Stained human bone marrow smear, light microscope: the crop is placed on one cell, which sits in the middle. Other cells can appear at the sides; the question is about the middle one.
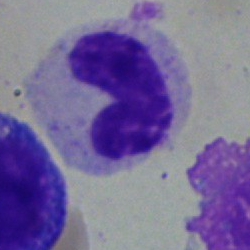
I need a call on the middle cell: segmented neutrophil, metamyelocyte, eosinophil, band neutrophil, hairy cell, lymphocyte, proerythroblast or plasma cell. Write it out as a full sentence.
Within this crop, a band neutrophil occupies the central position.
